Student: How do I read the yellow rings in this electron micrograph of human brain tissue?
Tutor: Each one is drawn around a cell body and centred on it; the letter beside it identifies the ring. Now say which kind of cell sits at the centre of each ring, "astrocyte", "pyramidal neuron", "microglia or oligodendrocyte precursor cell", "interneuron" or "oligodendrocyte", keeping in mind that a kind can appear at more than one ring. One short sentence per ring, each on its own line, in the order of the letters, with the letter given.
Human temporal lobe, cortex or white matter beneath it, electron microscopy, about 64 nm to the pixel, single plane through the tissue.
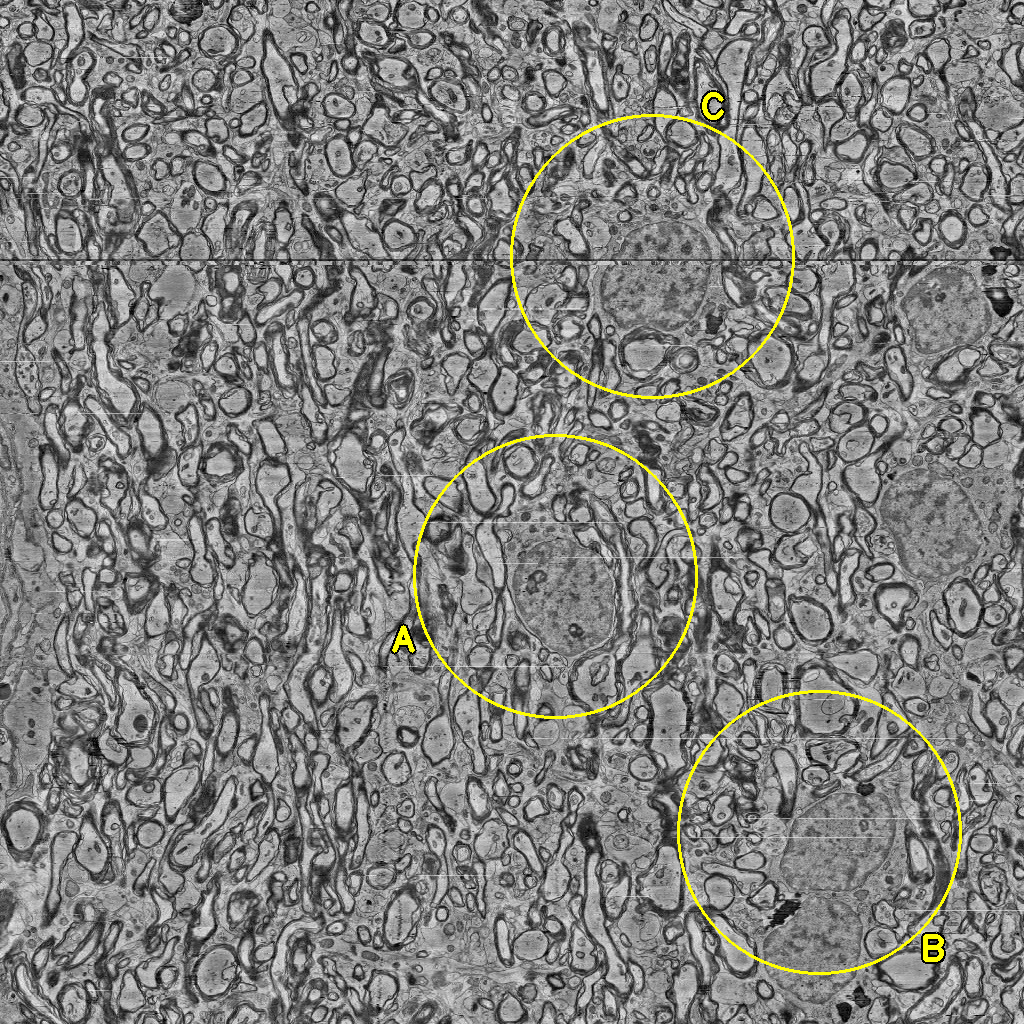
In the centre of ring A is an oligodendrocyte.
In the centre of ring B is an oligodendrocyte.
In the centre of ring C is an oligodendrocyte.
